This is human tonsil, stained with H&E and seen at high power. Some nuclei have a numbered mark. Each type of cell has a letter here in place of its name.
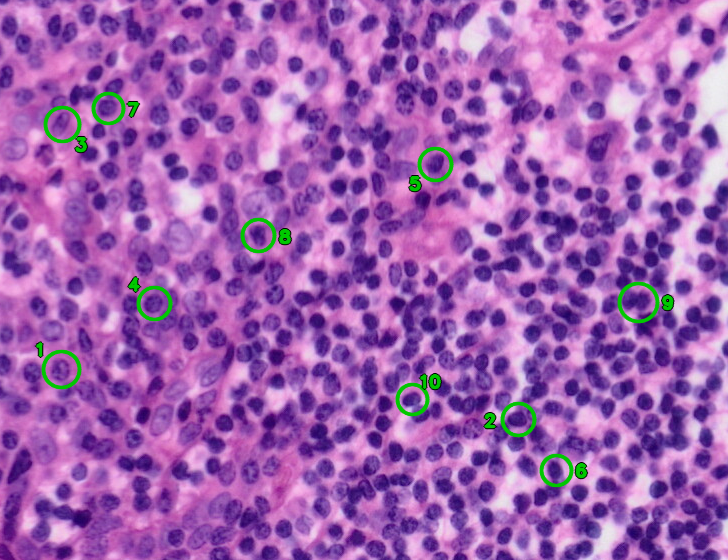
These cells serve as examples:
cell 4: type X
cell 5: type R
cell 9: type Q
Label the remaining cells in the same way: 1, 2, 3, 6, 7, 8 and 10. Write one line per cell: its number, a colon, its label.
1: type X
2: type Q
3: type R
6: type Q
7: type X
8: type X
10: type Q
